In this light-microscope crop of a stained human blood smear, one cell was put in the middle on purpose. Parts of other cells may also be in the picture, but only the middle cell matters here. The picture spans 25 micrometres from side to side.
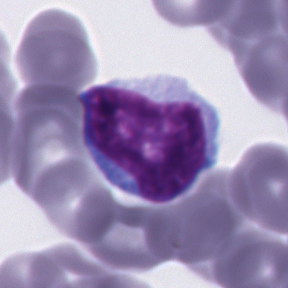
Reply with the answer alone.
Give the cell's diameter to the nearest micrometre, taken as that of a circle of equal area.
12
